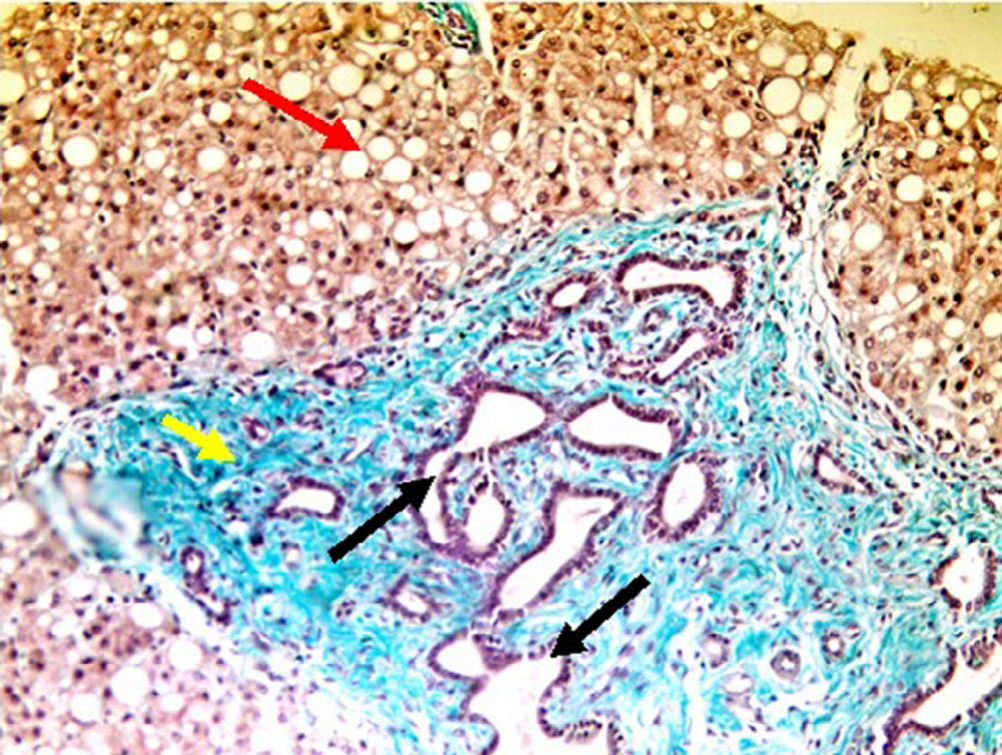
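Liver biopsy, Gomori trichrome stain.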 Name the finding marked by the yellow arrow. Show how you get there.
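Expanded fibrous septum. A broad band of blue-green fibres runs through the liver tissue. The band separates areas of hepatocytes.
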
